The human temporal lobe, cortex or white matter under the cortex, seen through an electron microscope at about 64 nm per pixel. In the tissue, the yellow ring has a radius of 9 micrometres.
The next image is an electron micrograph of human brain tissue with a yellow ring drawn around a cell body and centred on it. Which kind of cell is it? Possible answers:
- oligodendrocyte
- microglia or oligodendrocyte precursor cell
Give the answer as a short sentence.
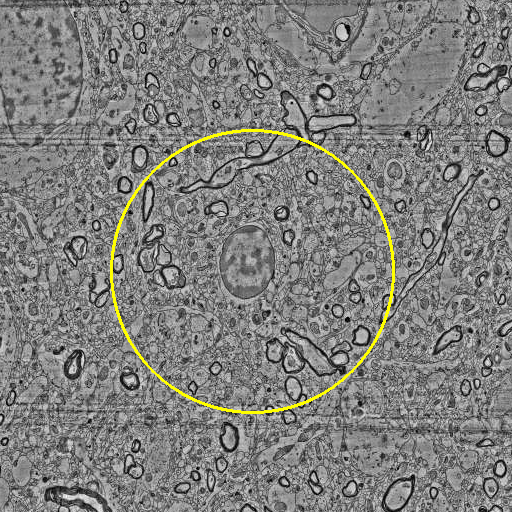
In the ring's centre is a microglial cell or oligodendrocyte precursor cell.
